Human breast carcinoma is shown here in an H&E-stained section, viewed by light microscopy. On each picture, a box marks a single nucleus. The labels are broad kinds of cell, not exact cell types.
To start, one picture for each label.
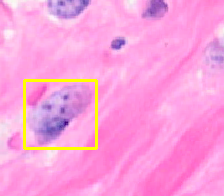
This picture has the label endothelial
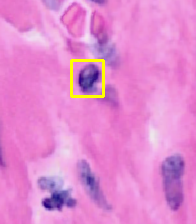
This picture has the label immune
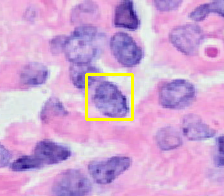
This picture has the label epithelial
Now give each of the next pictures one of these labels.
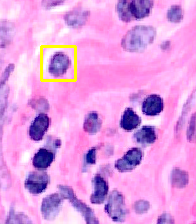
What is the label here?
immune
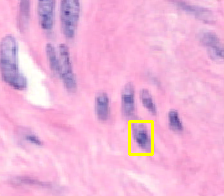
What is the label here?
endothelial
